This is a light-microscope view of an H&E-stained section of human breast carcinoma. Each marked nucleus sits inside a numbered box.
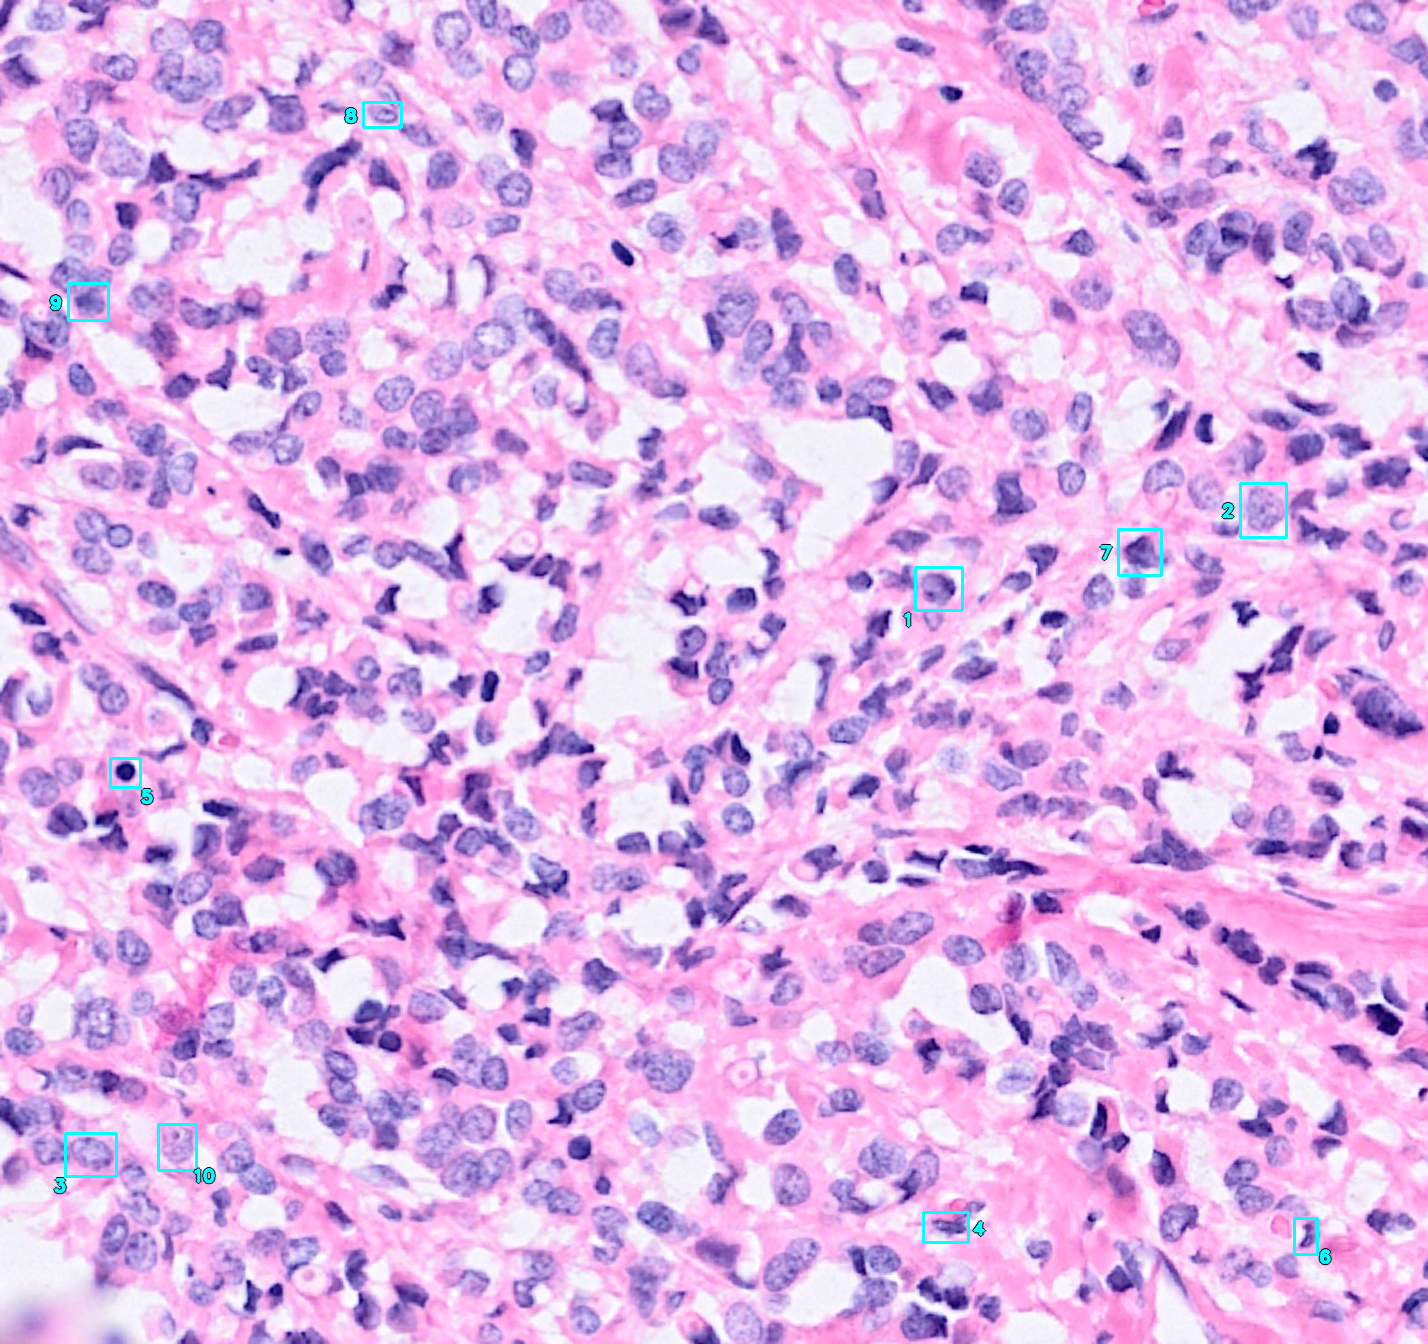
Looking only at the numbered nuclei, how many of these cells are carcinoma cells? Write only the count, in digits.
6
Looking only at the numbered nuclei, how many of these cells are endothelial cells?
3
